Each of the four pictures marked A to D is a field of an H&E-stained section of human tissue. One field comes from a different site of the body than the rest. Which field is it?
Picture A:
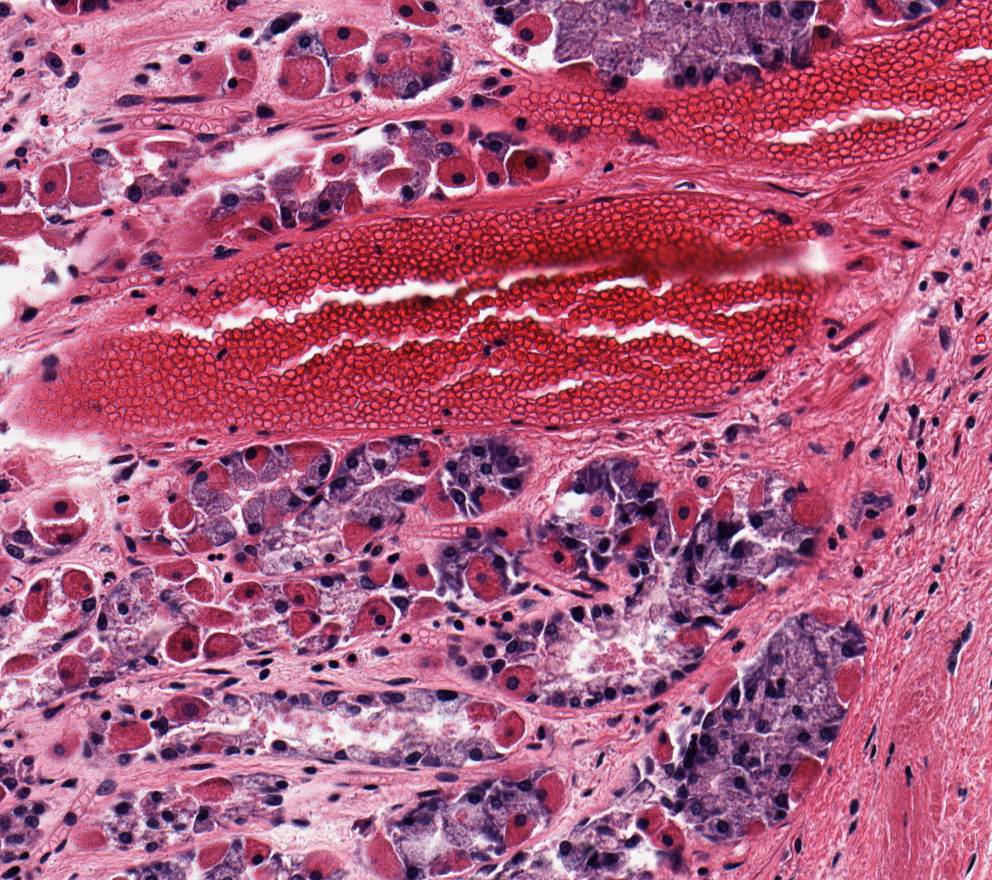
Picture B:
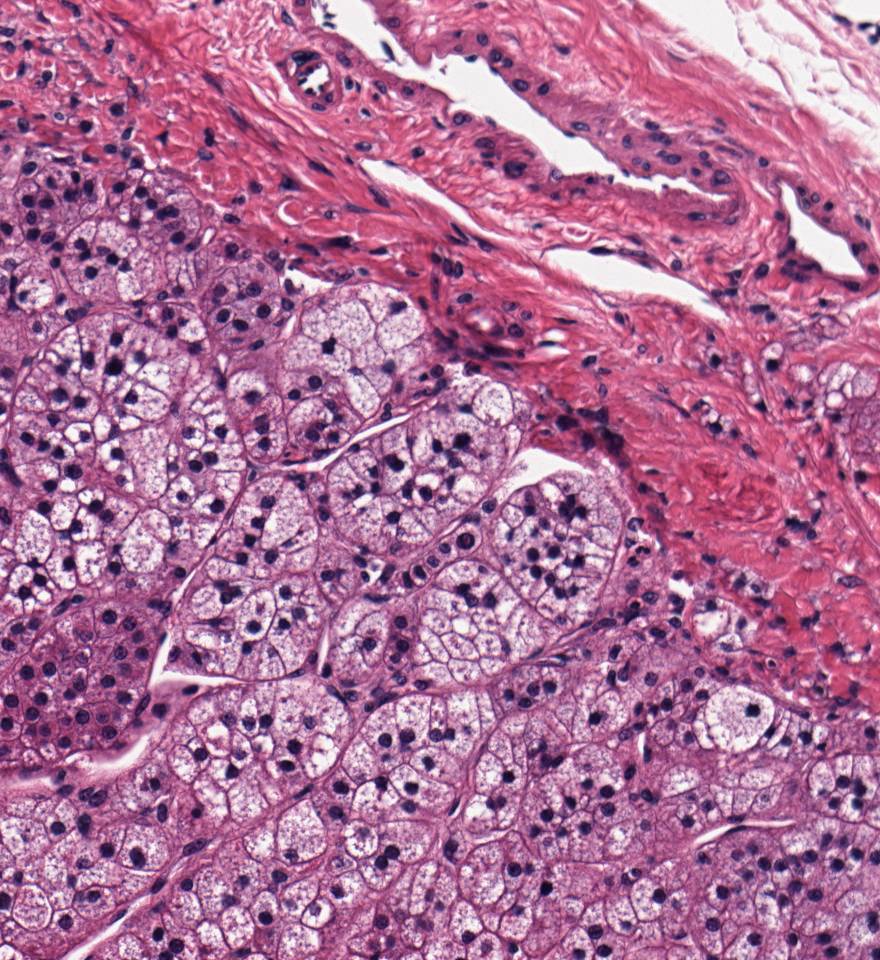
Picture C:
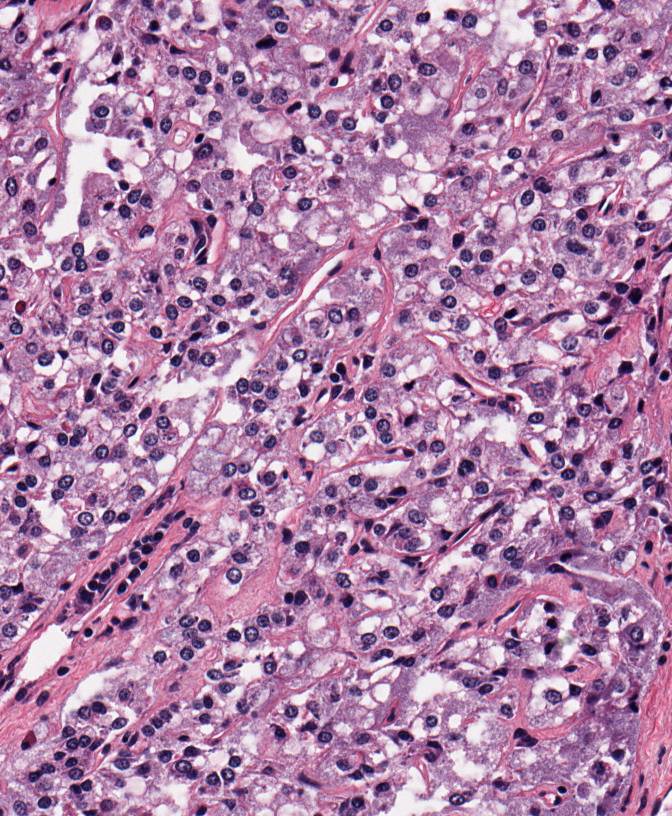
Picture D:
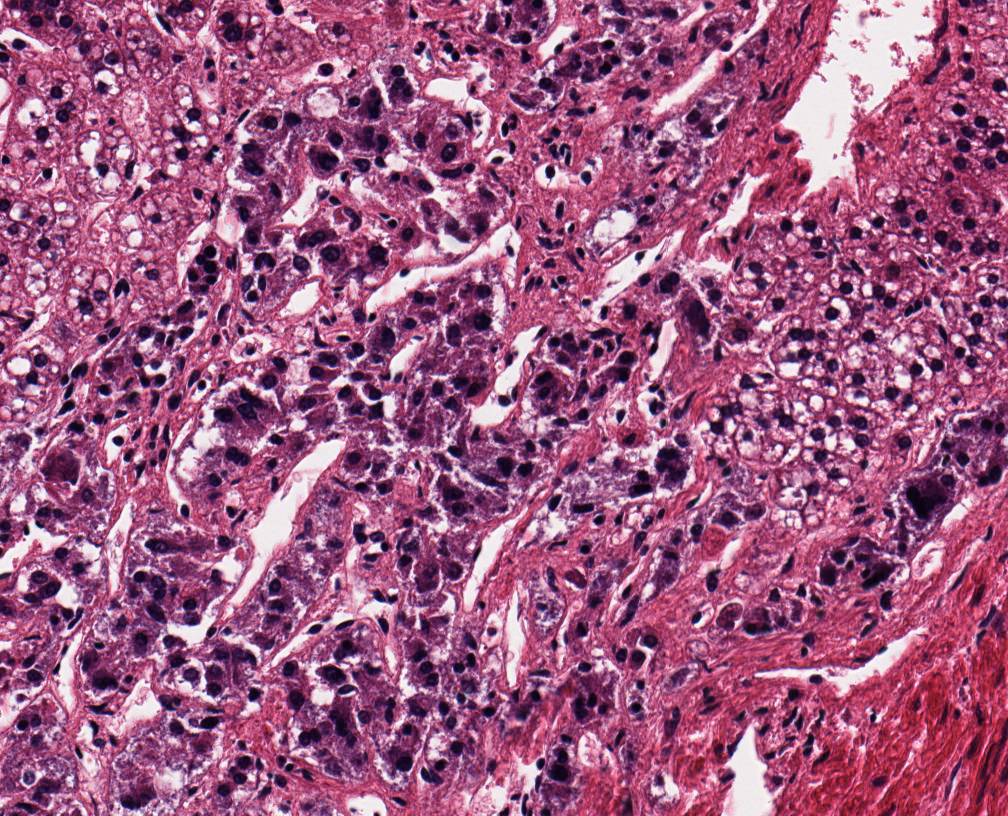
A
